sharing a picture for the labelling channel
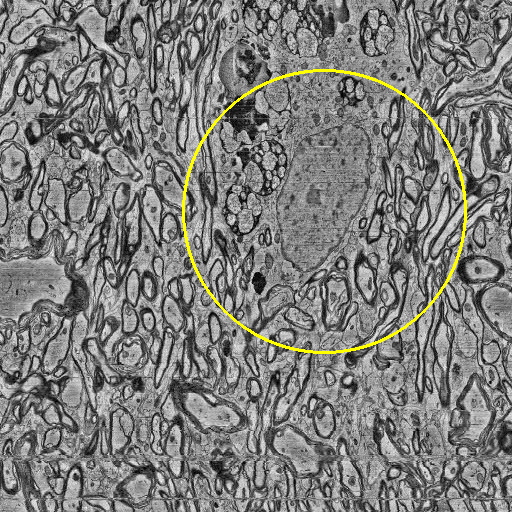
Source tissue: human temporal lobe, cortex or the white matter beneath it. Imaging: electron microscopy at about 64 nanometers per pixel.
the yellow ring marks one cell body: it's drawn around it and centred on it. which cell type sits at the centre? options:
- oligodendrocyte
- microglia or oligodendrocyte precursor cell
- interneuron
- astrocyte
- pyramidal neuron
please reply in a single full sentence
In the picture, the cell at the ring's centre is an astrocyte, going by the list.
